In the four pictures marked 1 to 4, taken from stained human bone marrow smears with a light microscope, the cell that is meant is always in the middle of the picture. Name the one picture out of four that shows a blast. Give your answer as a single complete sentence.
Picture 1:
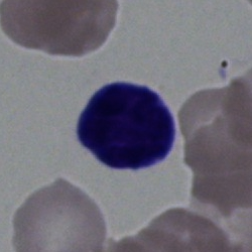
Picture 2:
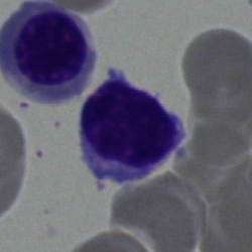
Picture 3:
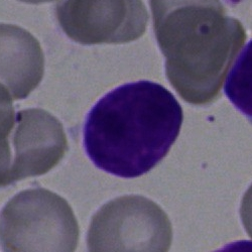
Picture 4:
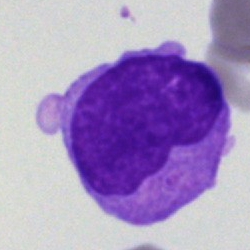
The blast is the one in picture 4.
